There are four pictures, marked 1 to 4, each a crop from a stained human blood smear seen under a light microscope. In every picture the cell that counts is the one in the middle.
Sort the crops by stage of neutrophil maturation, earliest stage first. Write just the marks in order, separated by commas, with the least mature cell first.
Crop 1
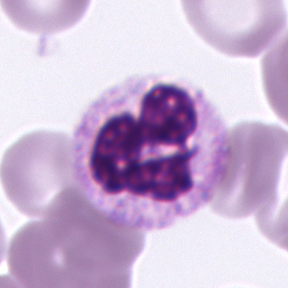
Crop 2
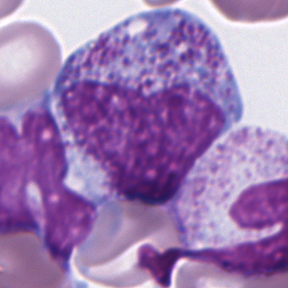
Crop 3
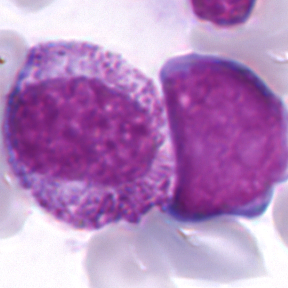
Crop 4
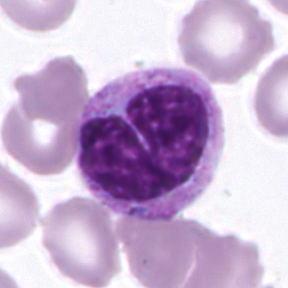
2, 3, 4, 1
